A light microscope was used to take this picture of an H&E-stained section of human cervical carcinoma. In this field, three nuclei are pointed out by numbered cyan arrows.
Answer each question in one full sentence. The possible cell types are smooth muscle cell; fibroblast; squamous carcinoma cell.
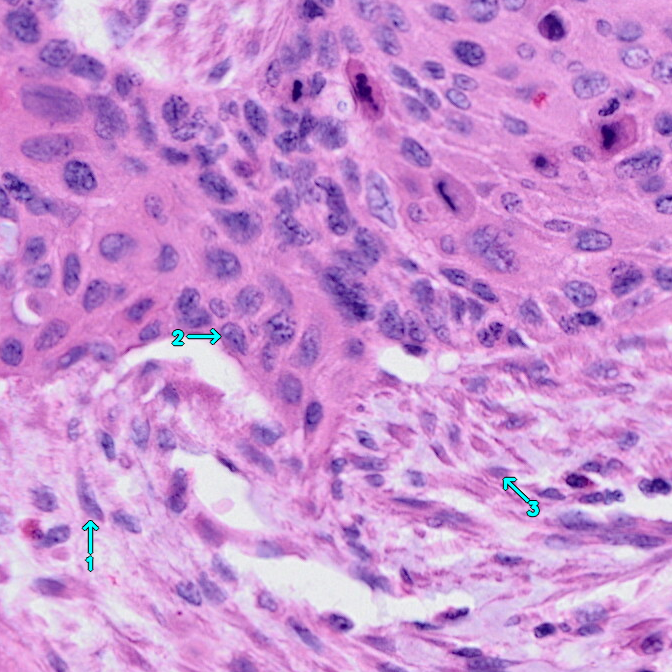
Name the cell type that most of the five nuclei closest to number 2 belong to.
Squamous carcinoma cells account for more than half of the five nuclei nearest to number 2.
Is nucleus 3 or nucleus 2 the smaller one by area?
It is nucleus 3; nucleus 2 has about 3 times its area.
